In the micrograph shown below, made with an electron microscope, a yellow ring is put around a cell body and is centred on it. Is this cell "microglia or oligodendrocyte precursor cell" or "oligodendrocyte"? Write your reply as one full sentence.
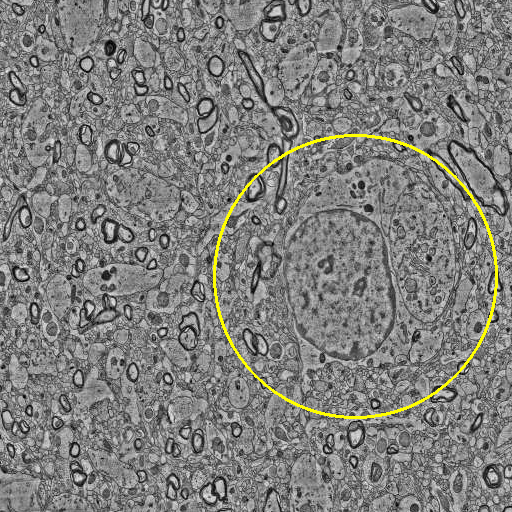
In the micrograph, a microglial cell or oligodendrocyte precursor cell is the cell at the centre of the yellow ring.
